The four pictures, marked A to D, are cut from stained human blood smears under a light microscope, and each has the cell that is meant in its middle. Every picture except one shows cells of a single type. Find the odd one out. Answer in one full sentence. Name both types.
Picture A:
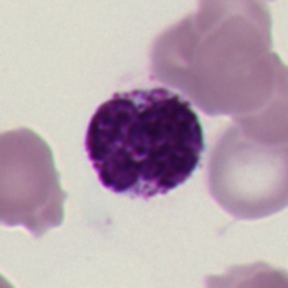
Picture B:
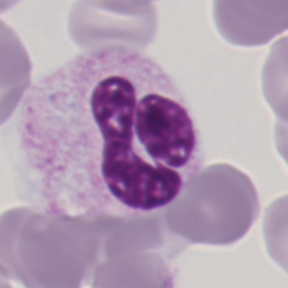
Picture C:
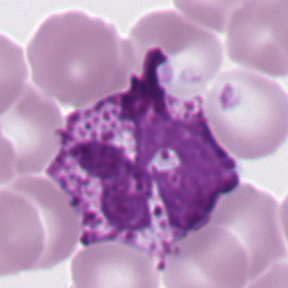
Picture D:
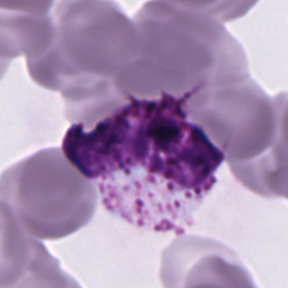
The others show basophils, but picture B shows a segmented neutrophil.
